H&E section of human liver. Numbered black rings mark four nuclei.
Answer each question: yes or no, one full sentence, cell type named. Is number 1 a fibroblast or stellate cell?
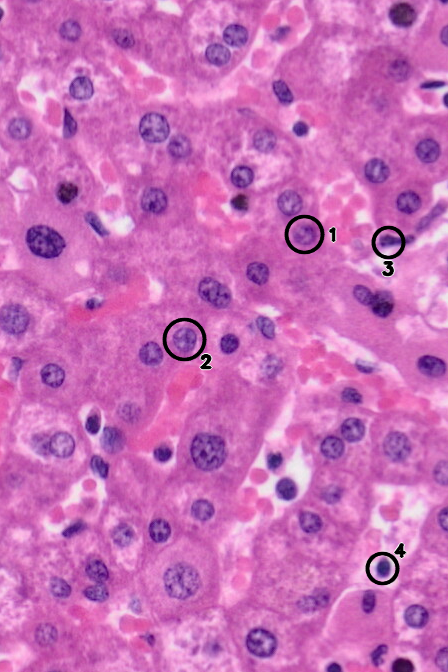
No, rather than a fibroblast or stellate cell, cell number 1 is a hepatocyte.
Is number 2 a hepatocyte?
Yes, the numbered cell 2 is identified as a hepatocyte.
